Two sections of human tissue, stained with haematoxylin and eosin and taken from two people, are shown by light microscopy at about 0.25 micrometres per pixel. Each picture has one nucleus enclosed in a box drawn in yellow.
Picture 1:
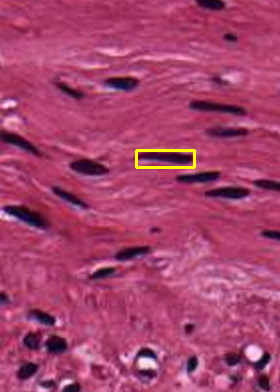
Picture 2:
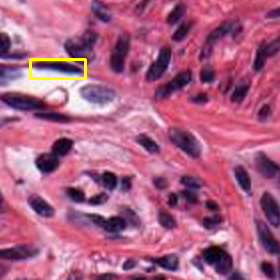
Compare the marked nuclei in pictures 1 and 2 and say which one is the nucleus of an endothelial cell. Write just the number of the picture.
2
